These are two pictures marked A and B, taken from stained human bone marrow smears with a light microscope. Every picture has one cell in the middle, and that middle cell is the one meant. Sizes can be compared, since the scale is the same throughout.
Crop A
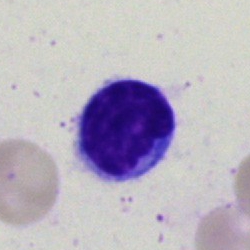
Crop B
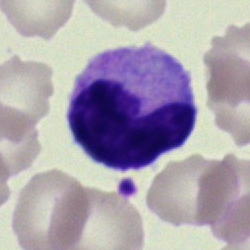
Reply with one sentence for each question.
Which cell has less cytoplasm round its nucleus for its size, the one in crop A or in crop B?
Of the two, the nucleus in crop A makes up the greater part of its cell.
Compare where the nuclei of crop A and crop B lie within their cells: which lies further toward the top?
The nucleus in crop A lies further toward the top of its cell.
